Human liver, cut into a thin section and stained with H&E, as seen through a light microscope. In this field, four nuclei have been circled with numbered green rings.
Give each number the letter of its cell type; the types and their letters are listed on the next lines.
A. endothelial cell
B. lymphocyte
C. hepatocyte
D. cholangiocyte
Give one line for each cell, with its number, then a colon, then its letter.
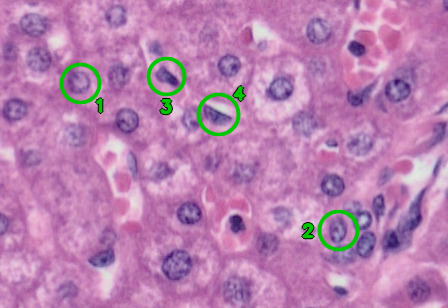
1: C
2: D
3: B
4: A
